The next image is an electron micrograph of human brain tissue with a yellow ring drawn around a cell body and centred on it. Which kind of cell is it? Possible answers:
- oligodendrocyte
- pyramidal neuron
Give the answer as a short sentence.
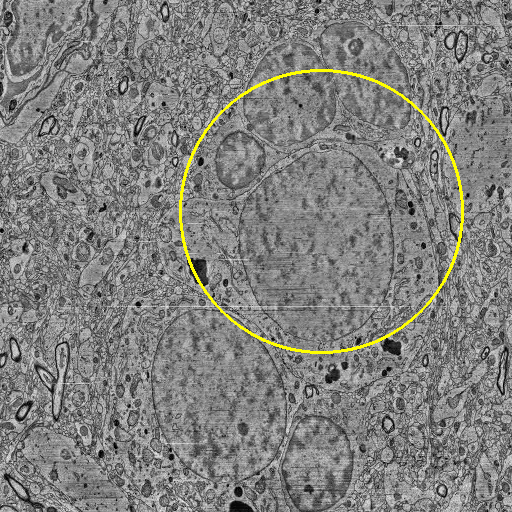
In the ring's centre is a pyramidal neuron.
